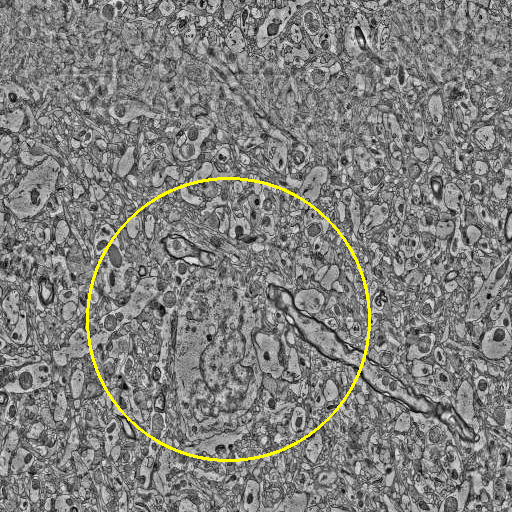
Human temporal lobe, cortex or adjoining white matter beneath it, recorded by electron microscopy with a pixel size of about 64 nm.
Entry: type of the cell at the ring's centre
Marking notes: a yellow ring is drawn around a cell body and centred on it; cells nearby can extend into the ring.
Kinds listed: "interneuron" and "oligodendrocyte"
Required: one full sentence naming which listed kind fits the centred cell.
My entry names an interneuron as the cell whose body the yellow ring centres on.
